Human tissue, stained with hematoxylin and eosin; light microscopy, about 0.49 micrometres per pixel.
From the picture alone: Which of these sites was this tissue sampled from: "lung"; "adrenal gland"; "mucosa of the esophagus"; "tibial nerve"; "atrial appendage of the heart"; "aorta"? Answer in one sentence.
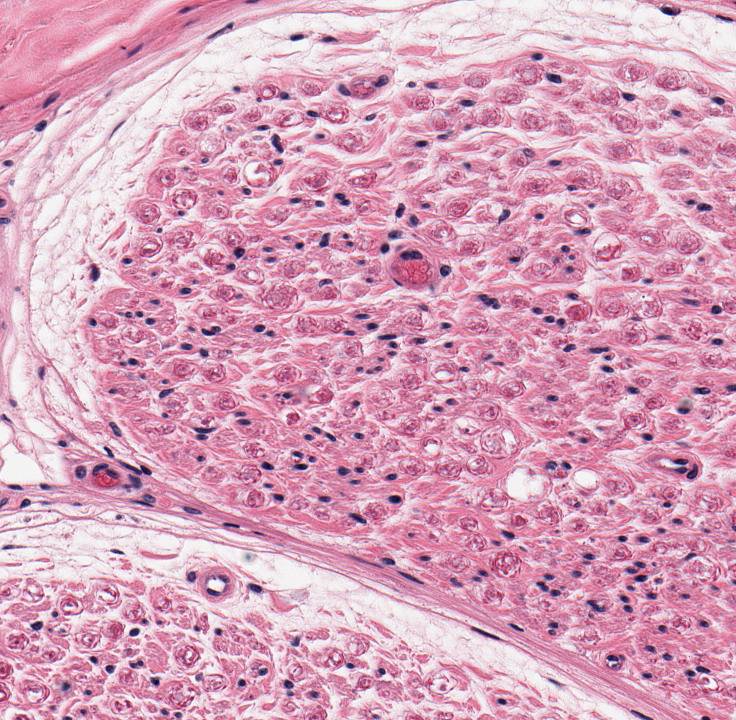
The site this tissue was sampled from is the tibial nerve.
